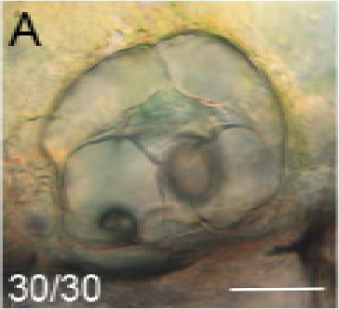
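An oval, fluid-filled vesicle with thin epithelial walls is seen from the side, its lumen divided into chambers by pillars of tissue projecting inward. Two dense, refractile round bodies lie inside it, a small one low at the front and a larger oval one further back. This is an ear with its two otoliths in their usual positions.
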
